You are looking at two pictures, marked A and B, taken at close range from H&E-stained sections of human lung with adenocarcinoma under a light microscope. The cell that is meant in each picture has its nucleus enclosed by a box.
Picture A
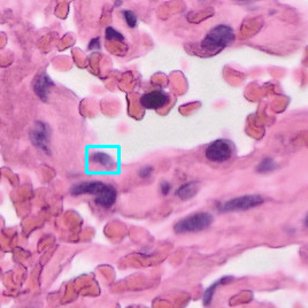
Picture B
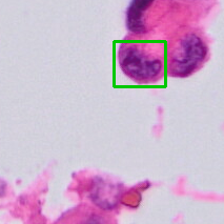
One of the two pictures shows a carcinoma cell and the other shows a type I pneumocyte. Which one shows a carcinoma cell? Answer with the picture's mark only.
B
